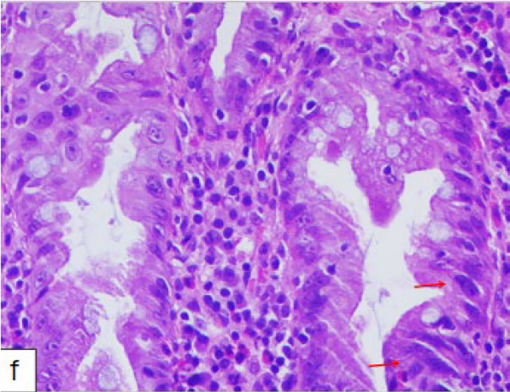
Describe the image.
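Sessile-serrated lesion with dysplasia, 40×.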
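Columnar epithelial cells lining crypts have abundant pale pink mucinous cytoplasm, and their nuclei are crowded, elongated and in places darker, some sitting away from the base of the cell. Between the crypts lies a narrow band of lamina propria full of small round inflammatory cells. These are hypermucinous cells with nuclear crowding, focal hyperchromasia and loss of polarity.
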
